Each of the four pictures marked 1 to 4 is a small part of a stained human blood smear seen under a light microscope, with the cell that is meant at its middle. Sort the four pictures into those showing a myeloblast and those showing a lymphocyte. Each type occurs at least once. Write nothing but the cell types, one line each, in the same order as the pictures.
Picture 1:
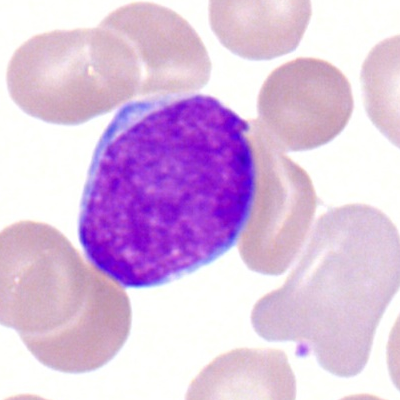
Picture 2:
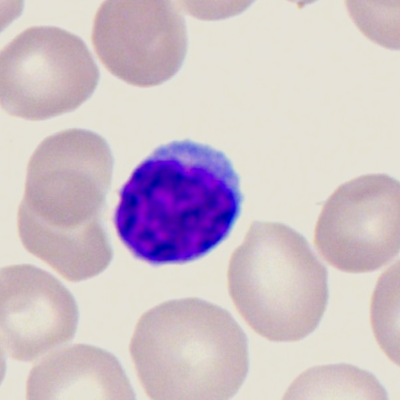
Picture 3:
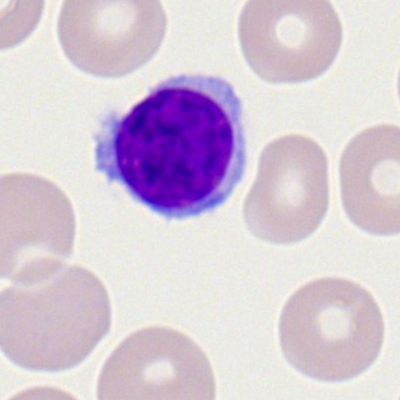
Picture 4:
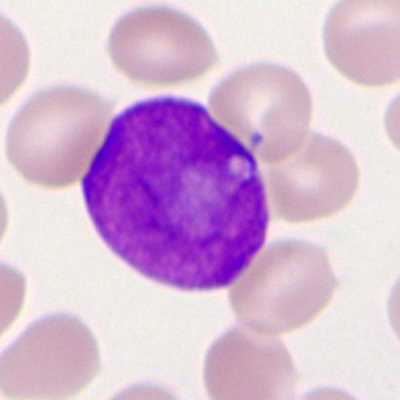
myeloblast
lymphocyte
lymphocyte
myeloblast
